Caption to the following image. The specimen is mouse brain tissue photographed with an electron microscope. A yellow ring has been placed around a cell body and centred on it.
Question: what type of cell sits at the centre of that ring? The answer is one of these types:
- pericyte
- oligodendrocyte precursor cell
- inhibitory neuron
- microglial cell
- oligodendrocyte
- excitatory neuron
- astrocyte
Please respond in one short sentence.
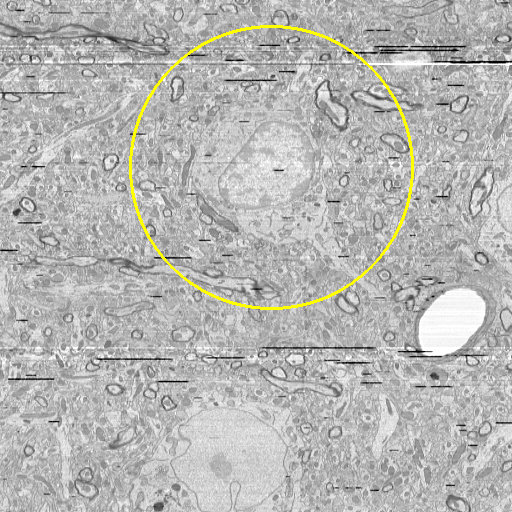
The ring surrounds the cell body of an oligodendrocyte.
